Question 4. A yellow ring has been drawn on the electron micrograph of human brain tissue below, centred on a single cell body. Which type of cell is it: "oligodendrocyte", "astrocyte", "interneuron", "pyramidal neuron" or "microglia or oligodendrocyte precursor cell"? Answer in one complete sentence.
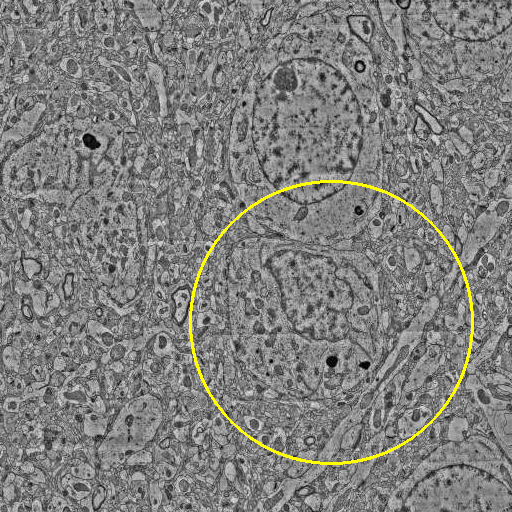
This cell body belongs to an interneuron.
